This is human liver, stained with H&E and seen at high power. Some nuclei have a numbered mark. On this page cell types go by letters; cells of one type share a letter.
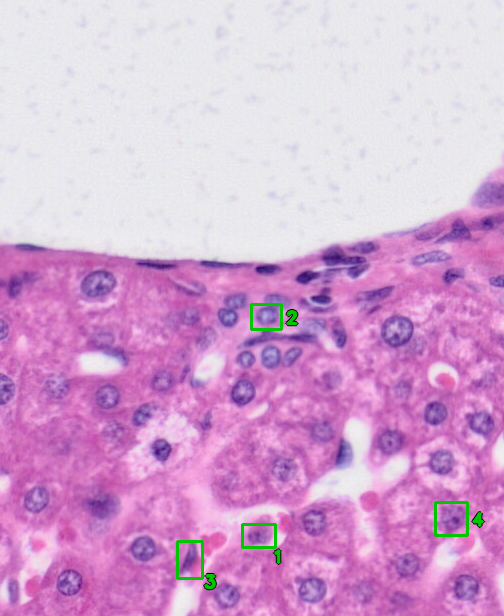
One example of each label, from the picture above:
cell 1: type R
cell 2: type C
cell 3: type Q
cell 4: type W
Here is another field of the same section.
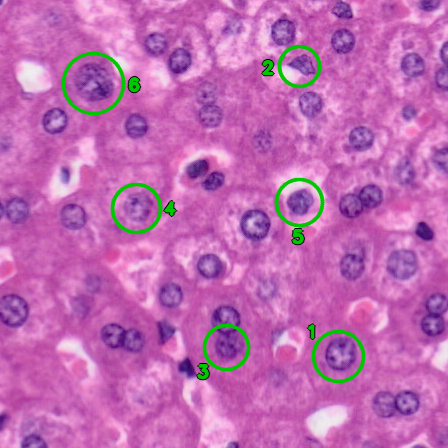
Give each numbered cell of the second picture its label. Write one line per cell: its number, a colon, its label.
1: type W
2: type Q
3: type W
4: type W
5: type R
6: type W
